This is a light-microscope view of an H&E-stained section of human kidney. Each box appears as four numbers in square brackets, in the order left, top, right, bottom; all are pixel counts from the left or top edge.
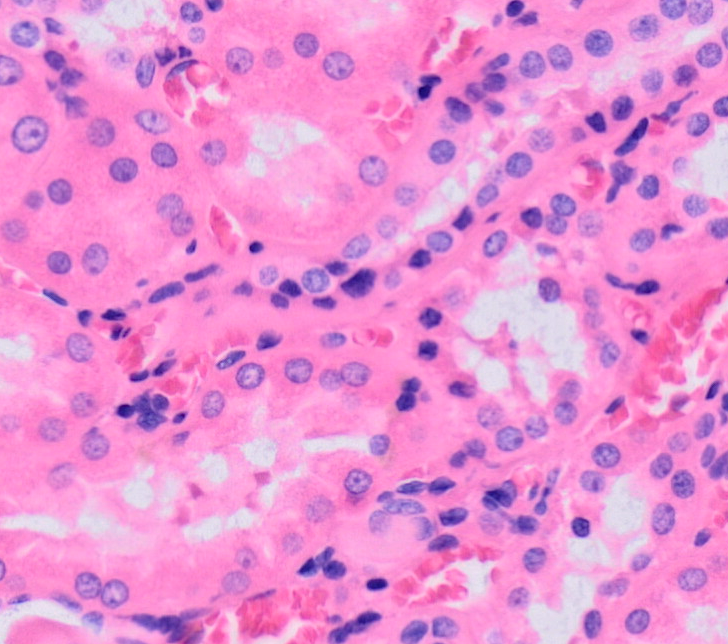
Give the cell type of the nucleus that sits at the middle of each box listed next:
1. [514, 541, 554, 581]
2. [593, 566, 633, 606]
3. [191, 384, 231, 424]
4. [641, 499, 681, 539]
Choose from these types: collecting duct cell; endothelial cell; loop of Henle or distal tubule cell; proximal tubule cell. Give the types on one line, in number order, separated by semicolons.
loop of Henle or distal tubule cell; loop of Henle or distal tubule cell; proximal tubule cell; loop of Henle or distal tubule cell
